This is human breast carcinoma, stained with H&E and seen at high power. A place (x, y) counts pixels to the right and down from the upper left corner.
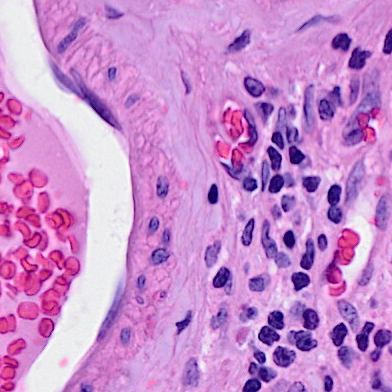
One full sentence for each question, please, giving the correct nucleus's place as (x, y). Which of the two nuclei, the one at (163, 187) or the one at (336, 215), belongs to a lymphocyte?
It is at (336, 215) that the nucleus of a lymphocyte is found.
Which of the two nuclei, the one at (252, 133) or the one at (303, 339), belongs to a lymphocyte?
That would be the nucleus at (303, 339); it belongs to a lymphocyte.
